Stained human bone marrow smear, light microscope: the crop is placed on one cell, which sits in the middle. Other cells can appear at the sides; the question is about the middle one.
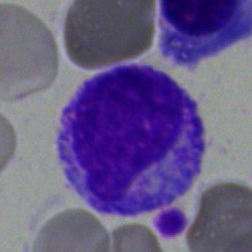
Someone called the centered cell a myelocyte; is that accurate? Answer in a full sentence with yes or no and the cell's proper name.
Yes, the cell at the crop's center is a myelocyte.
